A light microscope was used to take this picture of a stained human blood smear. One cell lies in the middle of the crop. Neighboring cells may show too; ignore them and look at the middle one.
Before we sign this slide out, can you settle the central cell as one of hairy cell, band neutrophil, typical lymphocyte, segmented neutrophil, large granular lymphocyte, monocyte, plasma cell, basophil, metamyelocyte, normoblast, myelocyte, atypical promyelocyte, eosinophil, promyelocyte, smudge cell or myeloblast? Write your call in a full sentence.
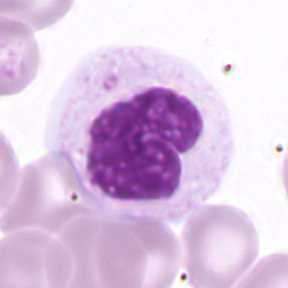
The centrally located cell in the crop is a band neutrophil.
